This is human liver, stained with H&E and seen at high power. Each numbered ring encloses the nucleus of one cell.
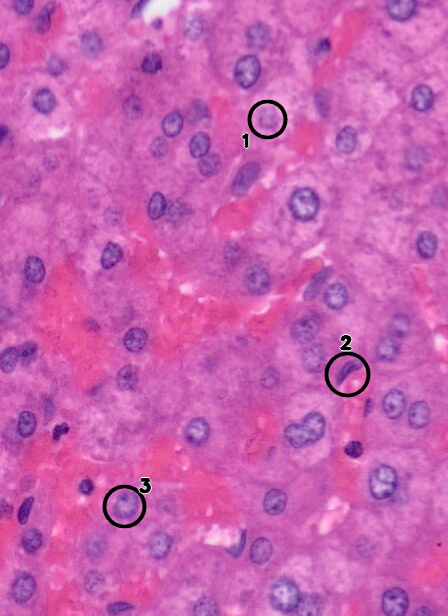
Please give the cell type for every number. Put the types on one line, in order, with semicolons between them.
hepatocyte; endothelial cell; hepatocyte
